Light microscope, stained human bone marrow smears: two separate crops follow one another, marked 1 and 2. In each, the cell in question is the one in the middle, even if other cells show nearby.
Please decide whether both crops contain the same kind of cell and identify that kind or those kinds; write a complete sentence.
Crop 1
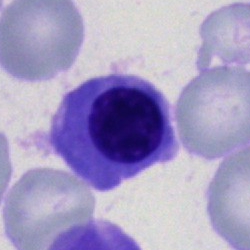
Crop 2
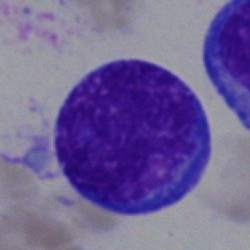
No, crop 1 shows an erythroblast, and it is crop 2 that shows a blast.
